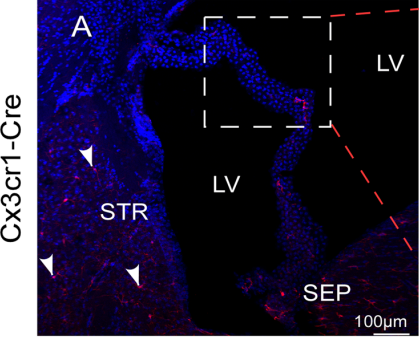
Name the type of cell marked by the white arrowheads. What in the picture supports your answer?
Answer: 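Microglia. Arrowheads point to small red cells scattered in the brain tissue beside the ventricle. The red cells have a small body with thin branching processes.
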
